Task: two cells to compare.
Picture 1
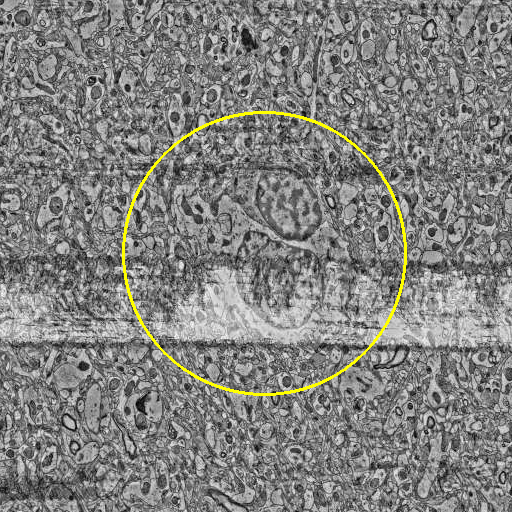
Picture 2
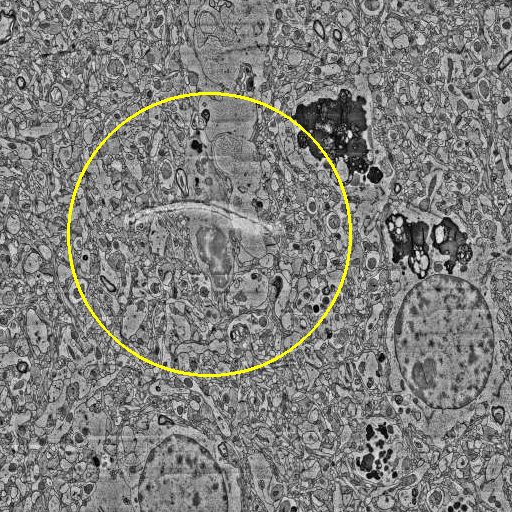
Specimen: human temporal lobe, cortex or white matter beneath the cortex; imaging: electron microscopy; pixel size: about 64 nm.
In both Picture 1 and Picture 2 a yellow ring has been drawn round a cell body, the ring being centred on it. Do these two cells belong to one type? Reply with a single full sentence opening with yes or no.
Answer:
No, the two cells at the ring centres in Picture 1 and Picture 2 are of two types.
